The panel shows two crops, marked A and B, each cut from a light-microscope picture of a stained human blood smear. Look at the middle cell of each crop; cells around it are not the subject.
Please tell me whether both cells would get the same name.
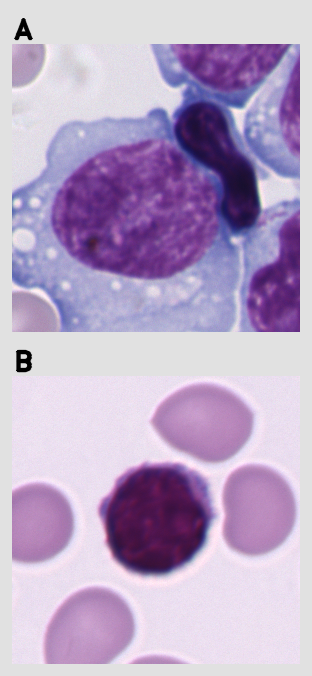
no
